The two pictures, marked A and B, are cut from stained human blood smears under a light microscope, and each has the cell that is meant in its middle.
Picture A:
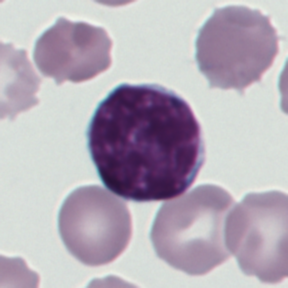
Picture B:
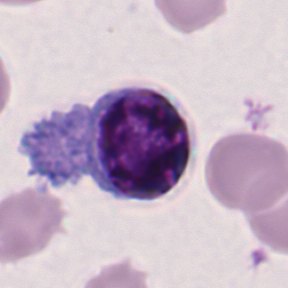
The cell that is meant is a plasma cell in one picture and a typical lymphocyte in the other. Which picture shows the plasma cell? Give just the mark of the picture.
B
